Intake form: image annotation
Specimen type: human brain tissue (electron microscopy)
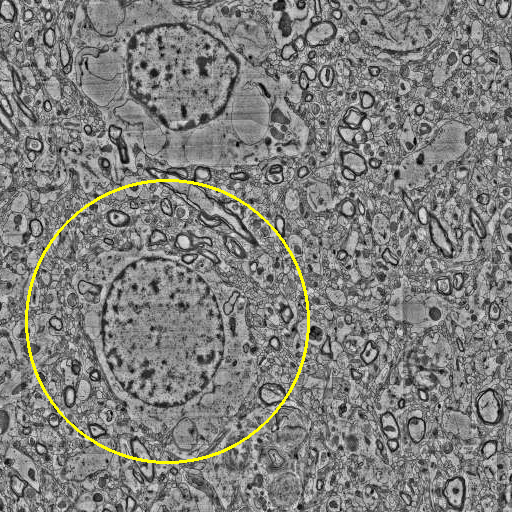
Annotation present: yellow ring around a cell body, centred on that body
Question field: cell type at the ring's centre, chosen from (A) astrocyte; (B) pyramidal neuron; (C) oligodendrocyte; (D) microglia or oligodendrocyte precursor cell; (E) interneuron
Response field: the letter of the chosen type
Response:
A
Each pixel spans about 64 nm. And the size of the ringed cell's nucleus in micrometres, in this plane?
About 10 by 8 micrometers, in this plane.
